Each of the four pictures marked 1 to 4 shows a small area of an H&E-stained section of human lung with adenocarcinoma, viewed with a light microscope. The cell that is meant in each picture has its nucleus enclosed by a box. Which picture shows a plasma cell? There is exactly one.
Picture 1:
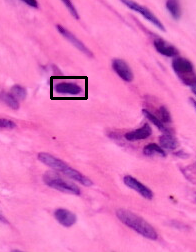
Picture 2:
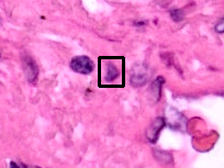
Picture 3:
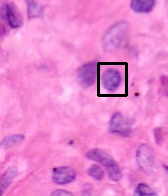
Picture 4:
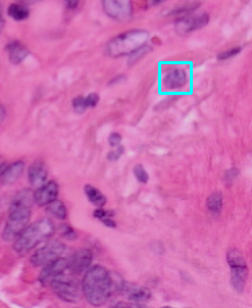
1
